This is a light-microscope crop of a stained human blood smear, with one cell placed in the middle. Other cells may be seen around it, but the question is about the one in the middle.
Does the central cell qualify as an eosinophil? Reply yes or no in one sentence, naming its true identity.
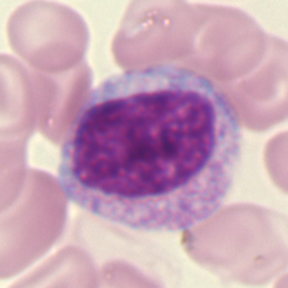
No, a myelocyte rather than an eosinophil is the cell at the centre of the crop.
